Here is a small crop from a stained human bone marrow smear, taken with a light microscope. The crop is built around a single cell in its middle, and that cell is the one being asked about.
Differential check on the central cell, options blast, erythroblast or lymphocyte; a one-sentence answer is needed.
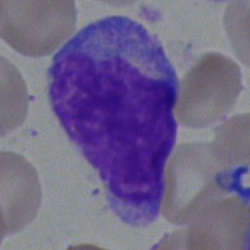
Occupying the centre of the crop is a blast.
